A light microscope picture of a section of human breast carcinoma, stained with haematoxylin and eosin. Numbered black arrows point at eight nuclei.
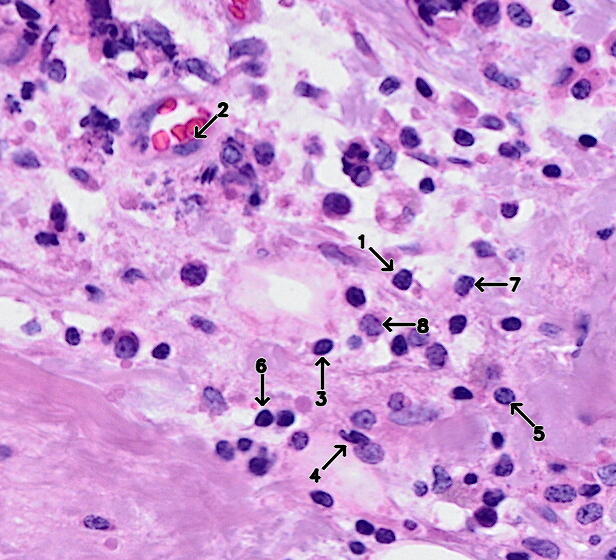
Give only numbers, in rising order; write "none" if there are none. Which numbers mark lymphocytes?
1, 3, 4, 6, 7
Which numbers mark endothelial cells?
2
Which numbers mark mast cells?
5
